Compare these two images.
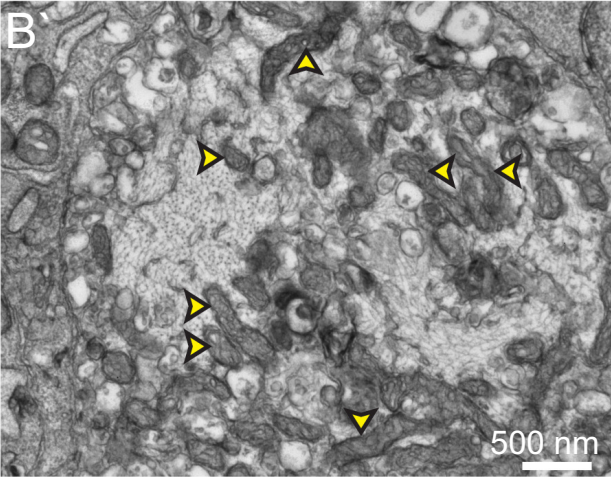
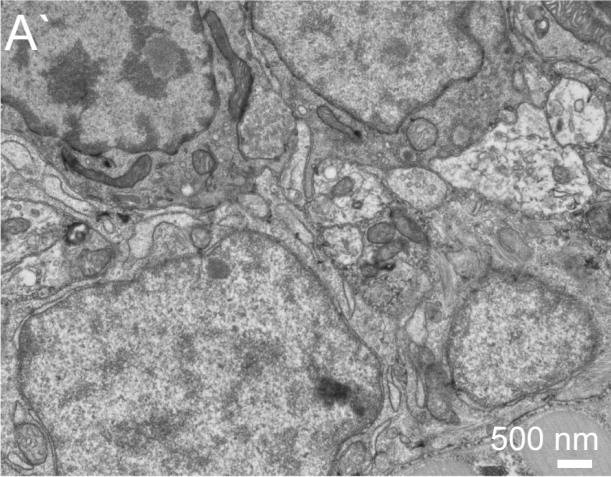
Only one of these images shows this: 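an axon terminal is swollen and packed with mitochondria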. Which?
The first image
